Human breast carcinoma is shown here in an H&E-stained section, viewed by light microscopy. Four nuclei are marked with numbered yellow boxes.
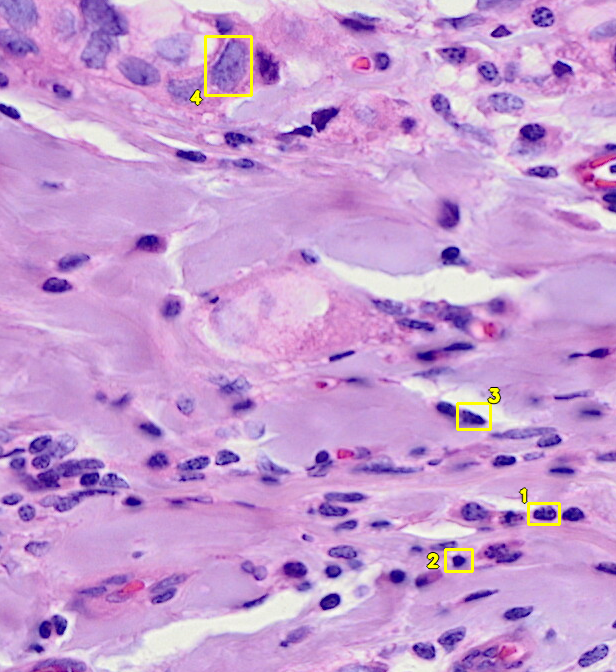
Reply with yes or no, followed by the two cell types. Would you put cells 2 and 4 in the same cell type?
No, cell 2 counts as a lymphocyte, and cell 4 counts as a carcinoma cell.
